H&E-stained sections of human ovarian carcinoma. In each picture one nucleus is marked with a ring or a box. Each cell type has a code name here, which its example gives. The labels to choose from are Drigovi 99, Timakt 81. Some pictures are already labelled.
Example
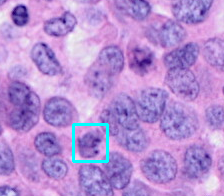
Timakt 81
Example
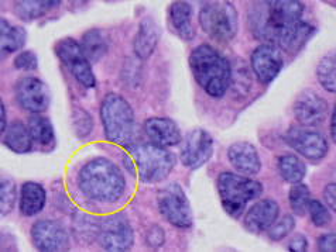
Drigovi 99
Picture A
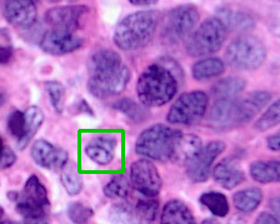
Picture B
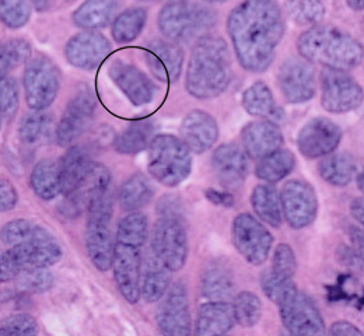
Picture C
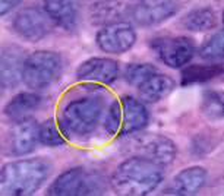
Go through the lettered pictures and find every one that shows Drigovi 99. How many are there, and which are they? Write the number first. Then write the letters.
Count: 2 (B, C)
